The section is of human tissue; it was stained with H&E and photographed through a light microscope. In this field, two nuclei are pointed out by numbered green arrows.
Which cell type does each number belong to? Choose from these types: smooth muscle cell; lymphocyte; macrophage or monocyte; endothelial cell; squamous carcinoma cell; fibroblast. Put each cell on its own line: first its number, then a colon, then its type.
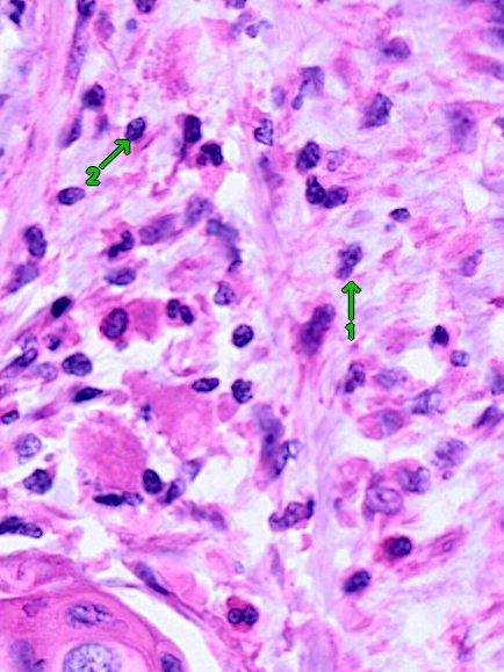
1: macrophage or monocyte
2: lymphocyte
